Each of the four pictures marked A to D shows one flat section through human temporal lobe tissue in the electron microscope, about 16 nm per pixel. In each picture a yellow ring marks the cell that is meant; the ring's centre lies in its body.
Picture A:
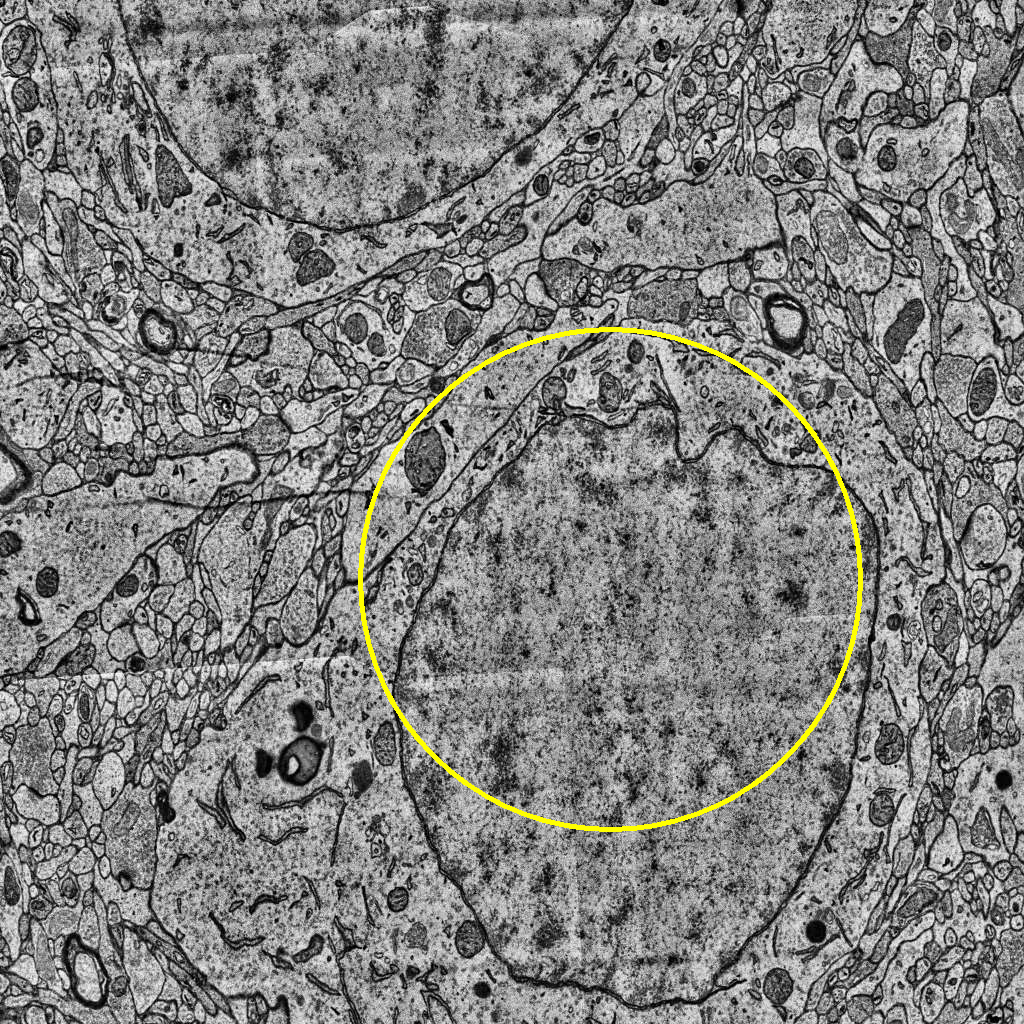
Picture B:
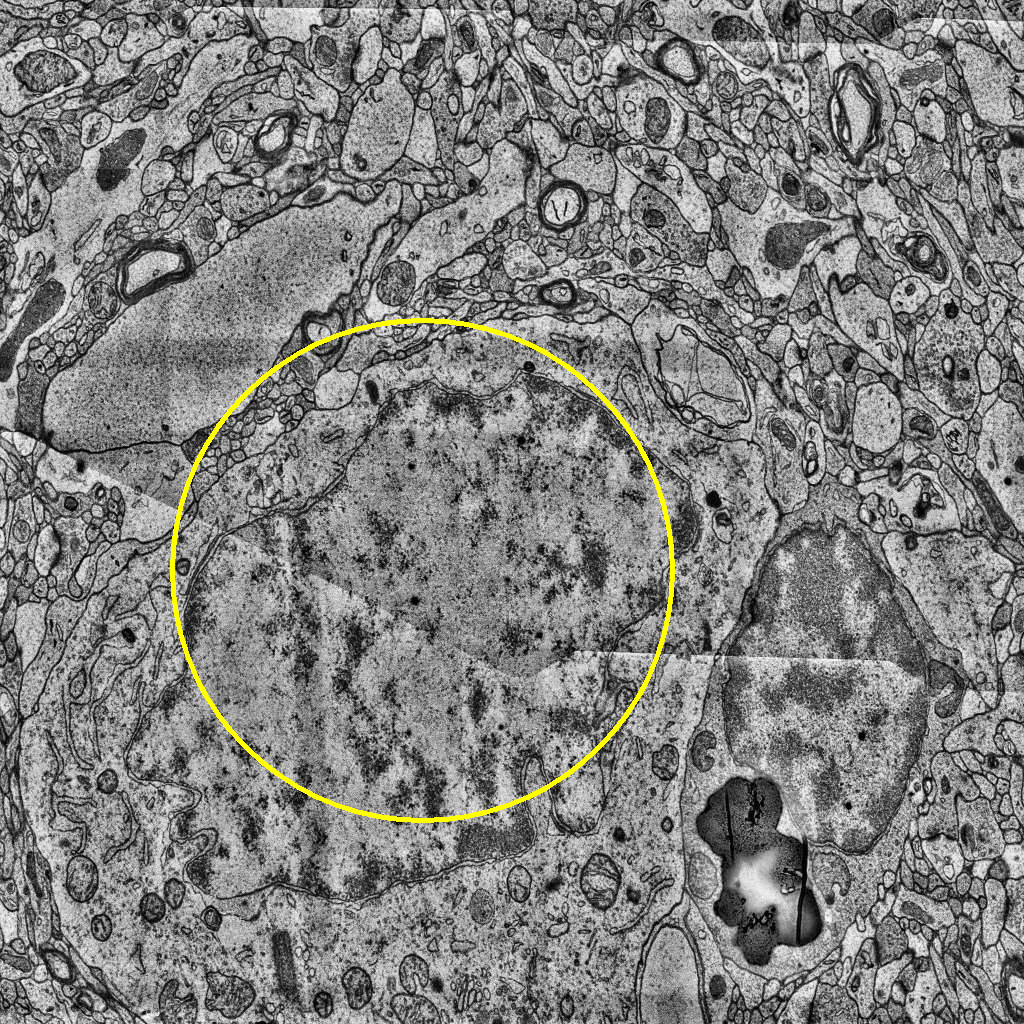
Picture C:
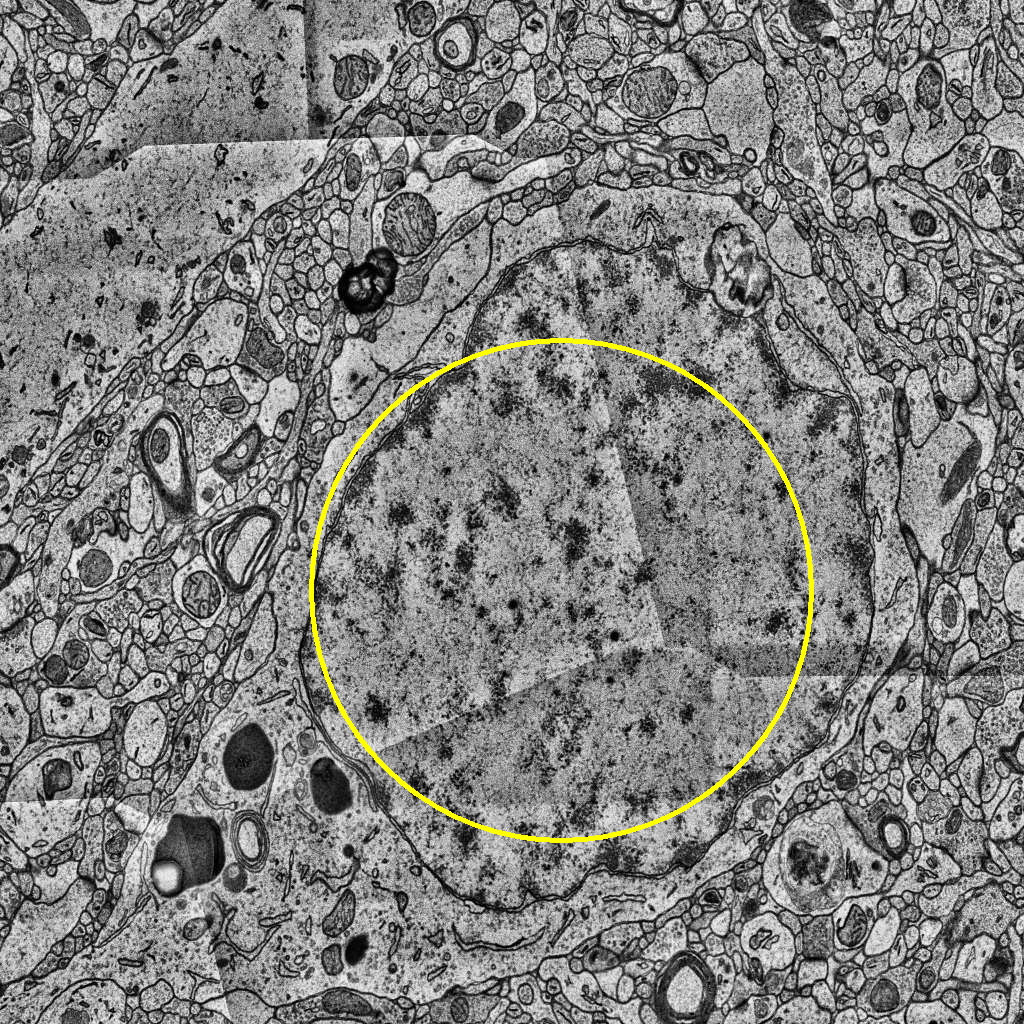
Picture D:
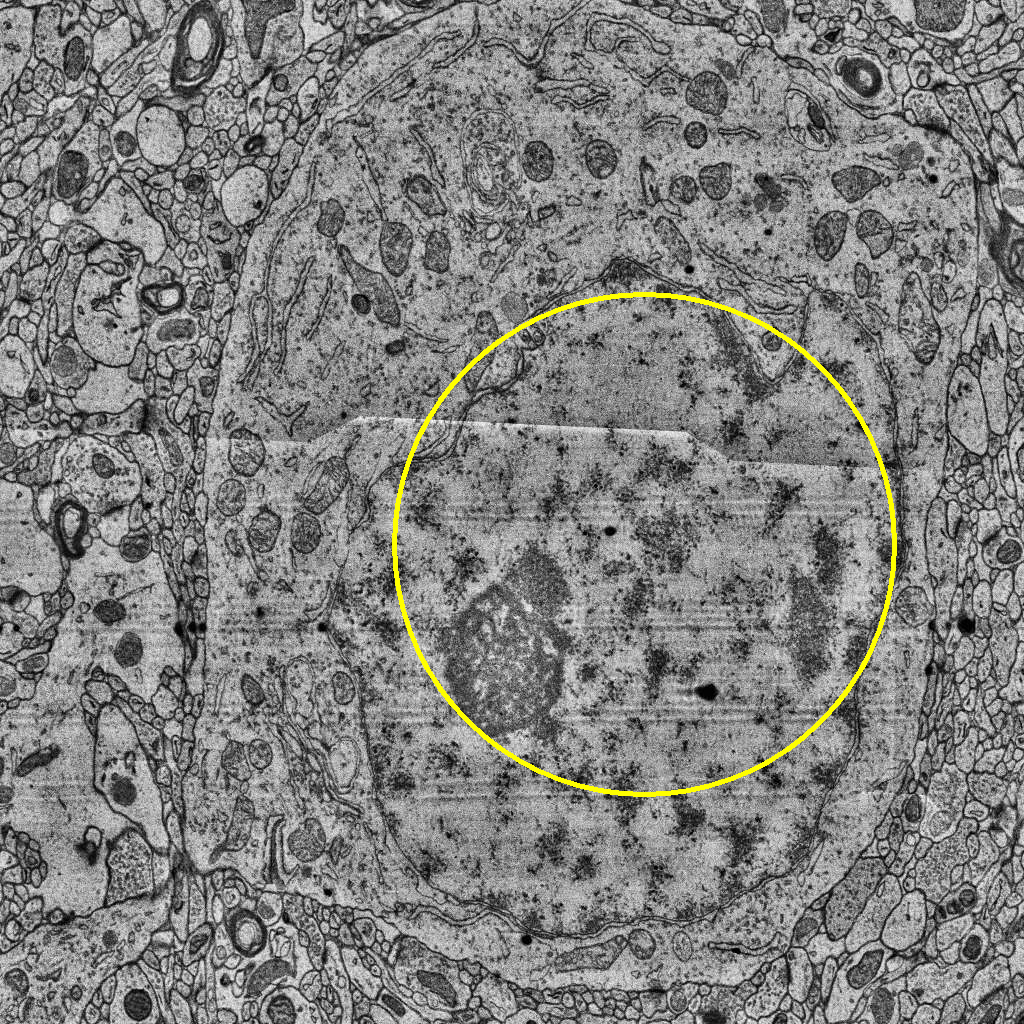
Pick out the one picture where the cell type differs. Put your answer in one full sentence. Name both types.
The different one is picture A; it shows a pyramidal neuron, whereas all the others show interneurons.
